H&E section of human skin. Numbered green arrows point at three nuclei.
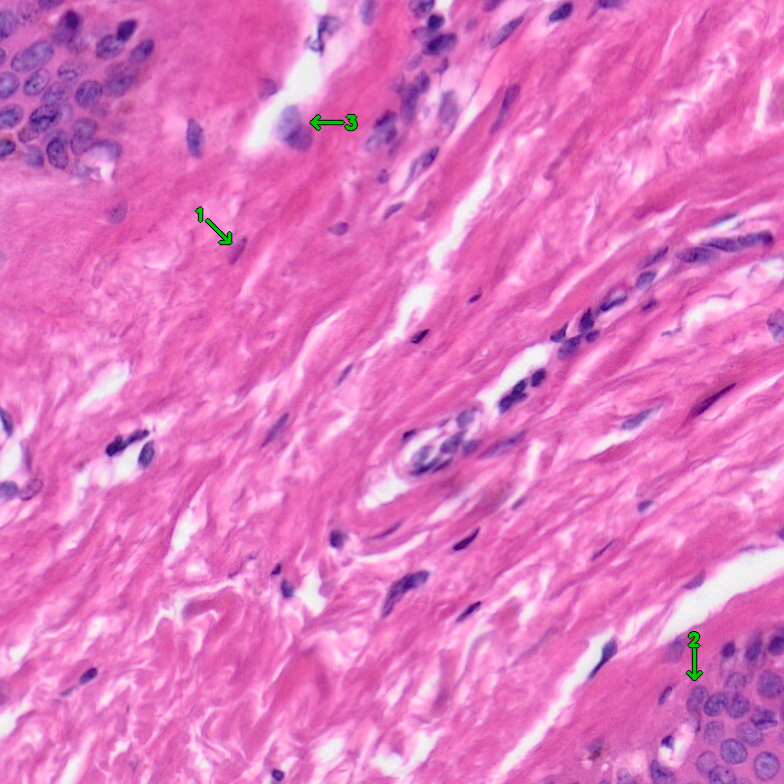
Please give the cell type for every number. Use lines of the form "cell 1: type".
cell 1: fibroblast
cell 2: basal keratinocyte
cell 3: fibroblast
